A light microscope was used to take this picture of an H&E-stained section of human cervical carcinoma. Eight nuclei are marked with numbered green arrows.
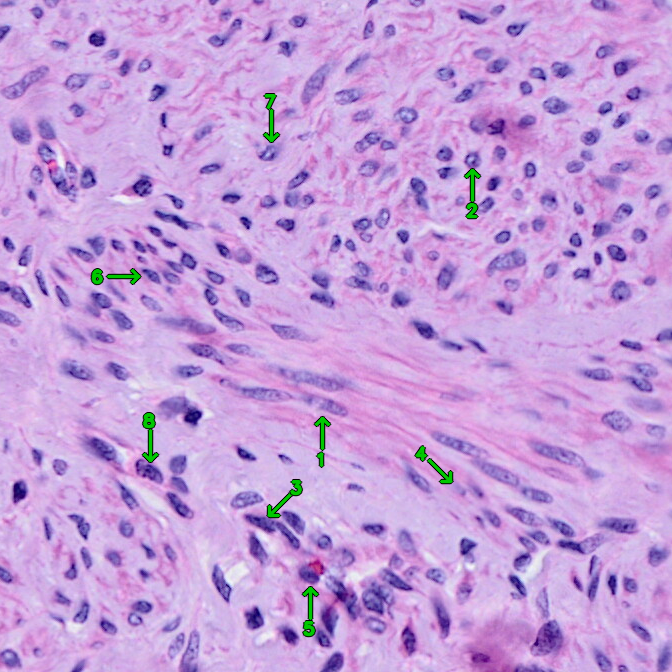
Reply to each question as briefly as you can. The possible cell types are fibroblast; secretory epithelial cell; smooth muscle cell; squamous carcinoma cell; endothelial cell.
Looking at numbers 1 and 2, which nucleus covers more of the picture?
1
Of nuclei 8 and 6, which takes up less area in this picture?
6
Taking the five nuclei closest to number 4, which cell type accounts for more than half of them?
smooth muscle cell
